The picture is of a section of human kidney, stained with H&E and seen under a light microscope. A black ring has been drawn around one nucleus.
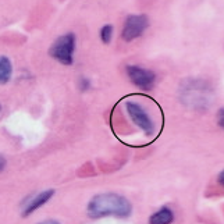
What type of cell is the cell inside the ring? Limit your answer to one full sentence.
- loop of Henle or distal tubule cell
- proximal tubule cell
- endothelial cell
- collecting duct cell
Just put down that the cell inside the ring is an endothelial cell.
